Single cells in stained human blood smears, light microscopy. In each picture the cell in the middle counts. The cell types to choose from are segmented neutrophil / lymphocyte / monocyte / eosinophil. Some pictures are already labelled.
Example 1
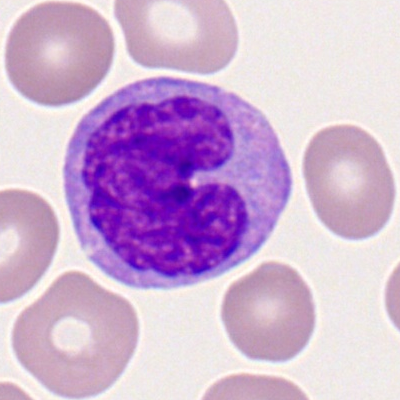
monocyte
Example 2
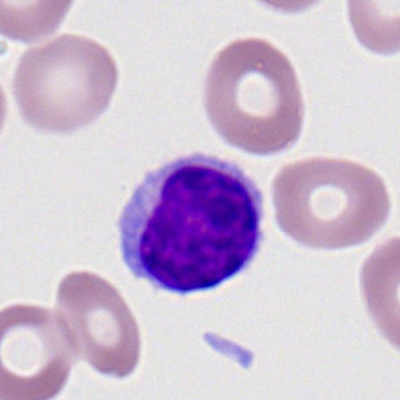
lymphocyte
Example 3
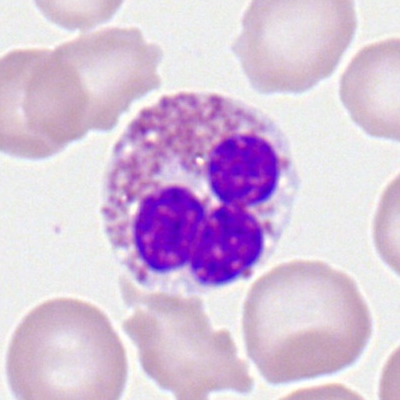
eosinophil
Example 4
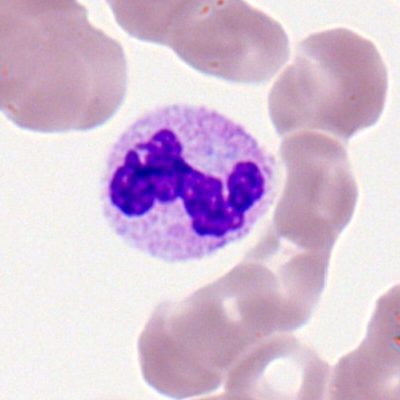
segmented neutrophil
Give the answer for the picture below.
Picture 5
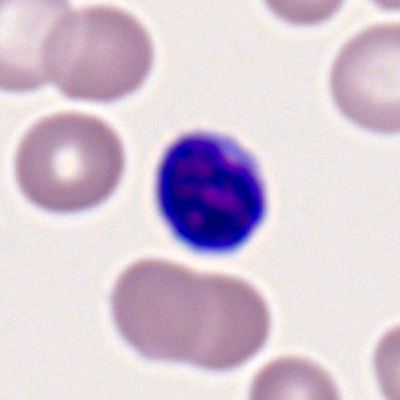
lymphocyte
